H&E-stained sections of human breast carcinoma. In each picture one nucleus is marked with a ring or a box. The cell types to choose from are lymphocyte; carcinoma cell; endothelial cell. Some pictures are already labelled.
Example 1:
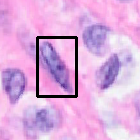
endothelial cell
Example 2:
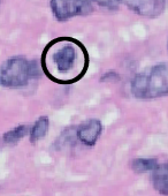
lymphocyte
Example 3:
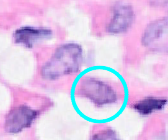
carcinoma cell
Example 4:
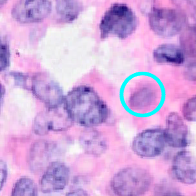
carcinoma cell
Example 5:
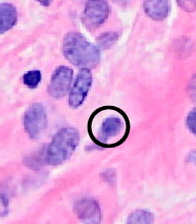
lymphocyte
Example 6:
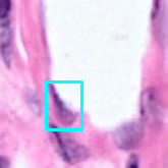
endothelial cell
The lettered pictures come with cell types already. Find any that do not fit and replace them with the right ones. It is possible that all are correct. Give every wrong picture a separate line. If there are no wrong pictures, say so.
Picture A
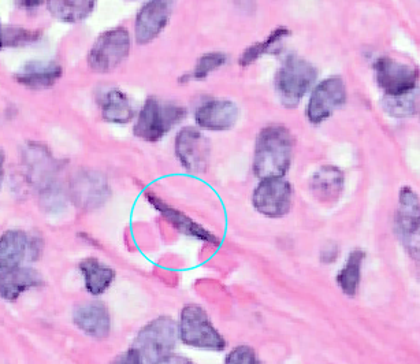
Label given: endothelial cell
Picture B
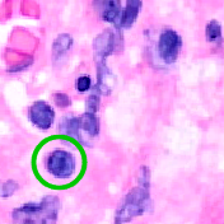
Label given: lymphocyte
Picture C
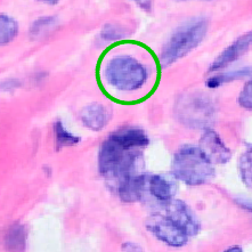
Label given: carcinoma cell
None of the labels needs changing.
